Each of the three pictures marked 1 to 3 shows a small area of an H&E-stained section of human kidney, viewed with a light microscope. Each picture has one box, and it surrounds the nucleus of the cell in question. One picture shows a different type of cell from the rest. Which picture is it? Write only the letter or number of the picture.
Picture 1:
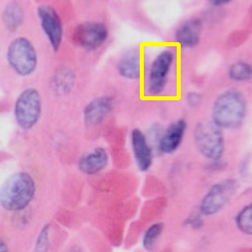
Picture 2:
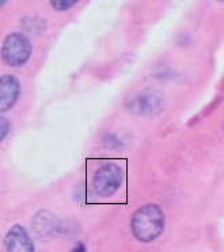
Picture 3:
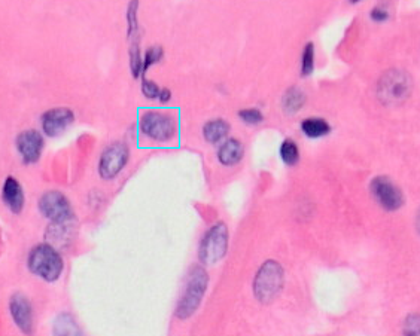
1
